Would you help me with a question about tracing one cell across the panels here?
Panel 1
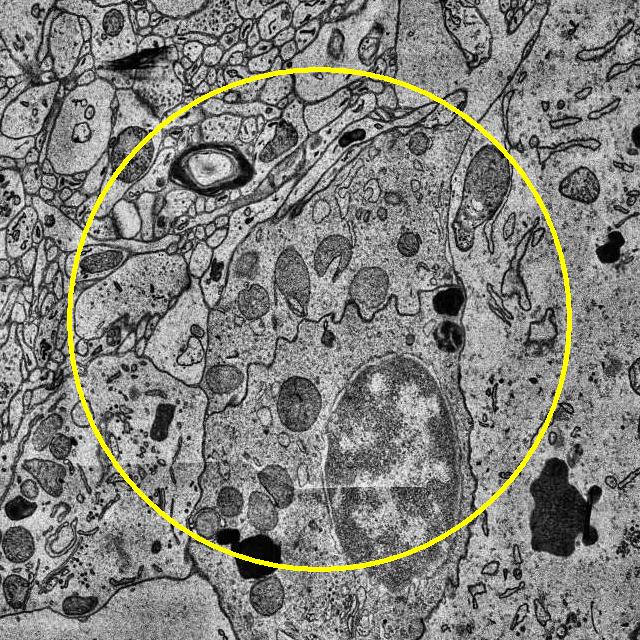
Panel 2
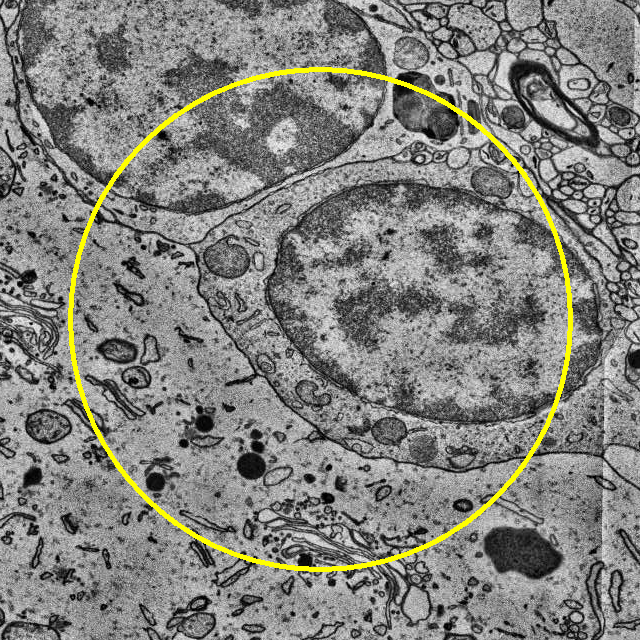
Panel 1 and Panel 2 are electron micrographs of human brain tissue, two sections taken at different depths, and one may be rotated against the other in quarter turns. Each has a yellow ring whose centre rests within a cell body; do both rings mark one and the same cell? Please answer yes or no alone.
yes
